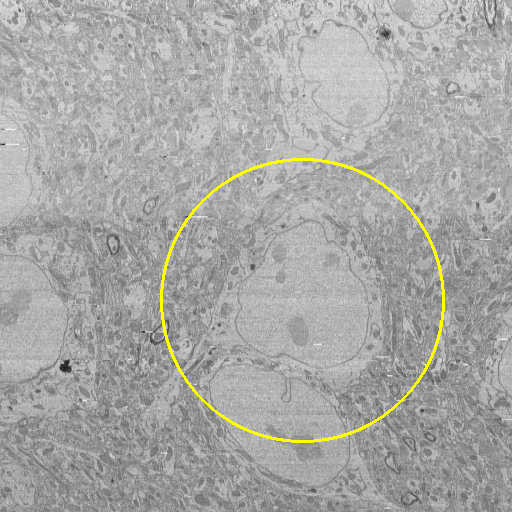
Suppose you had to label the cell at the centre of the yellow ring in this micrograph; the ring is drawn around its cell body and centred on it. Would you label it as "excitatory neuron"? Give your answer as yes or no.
Yes, I would label it that way.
